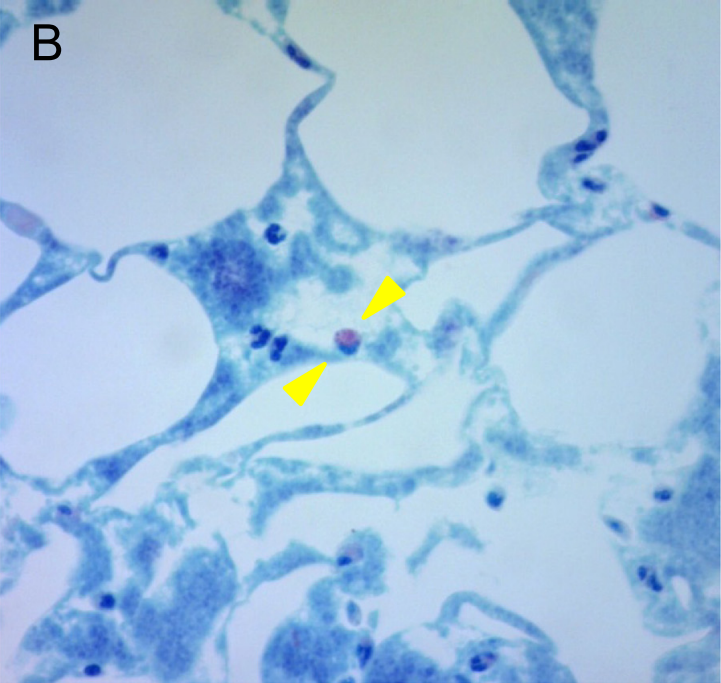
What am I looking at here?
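Thrombus material stained pale to mid blue forms a loose meshwork of strands around large clear spaces. Scattered cells with dark blue, lobulated nuclei lie within the strands. This cell stands out against the blue background and is taken as an infiltrating eosinophil.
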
